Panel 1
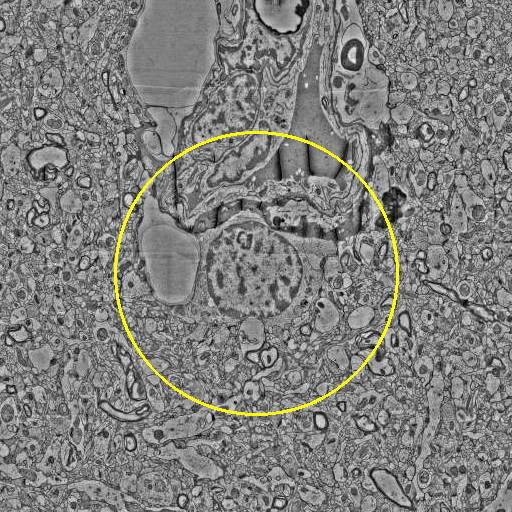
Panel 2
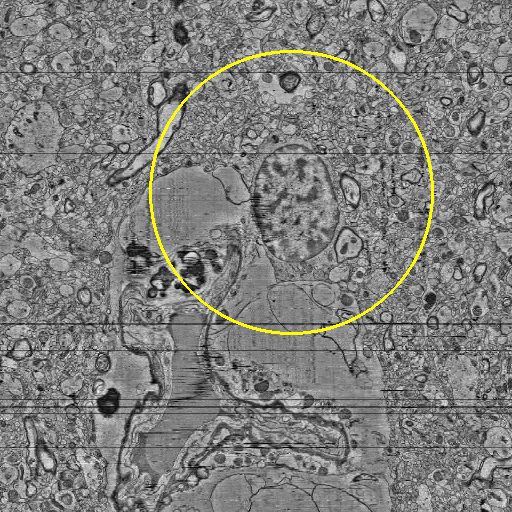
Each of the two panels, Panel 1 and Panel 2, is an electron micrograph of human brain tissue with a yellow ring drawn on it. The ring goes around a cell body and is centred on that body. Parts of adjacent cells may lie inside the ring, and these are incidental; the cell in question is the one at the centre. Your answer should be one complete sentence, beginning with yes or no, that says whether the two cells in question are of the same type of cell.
Yes, the two cells are of the same type.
